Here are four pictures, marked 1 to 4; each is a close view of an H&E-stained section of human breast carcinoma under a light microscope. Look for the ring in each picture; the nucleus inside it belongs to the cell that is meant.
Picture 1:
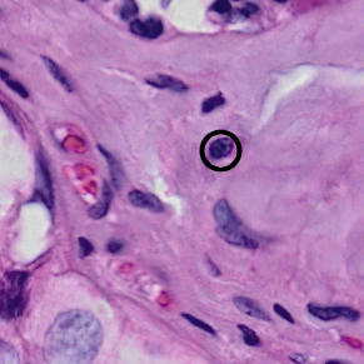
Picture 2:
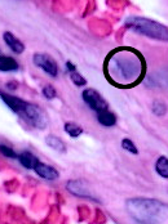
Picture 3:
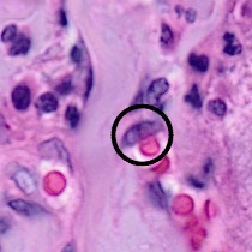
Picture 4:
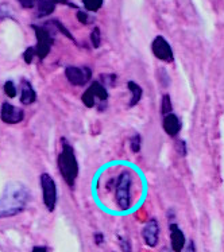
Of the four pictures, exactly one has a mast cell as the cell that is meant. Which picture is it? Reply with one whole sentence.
The picture with the mast cell is 1.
